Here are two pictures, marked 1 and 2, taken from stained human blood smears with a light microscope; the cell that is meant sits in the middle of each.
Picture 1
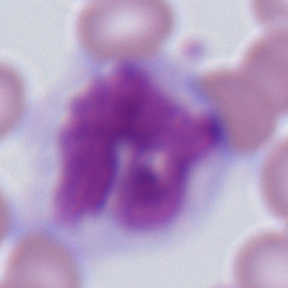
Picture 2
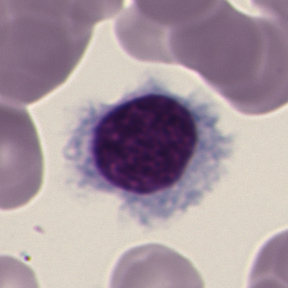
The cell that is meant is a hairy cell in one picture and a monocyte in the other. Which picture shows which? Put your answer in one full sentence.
It is picture 1 that shows a monocyte, and picture 2 that shows a hairy cell.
